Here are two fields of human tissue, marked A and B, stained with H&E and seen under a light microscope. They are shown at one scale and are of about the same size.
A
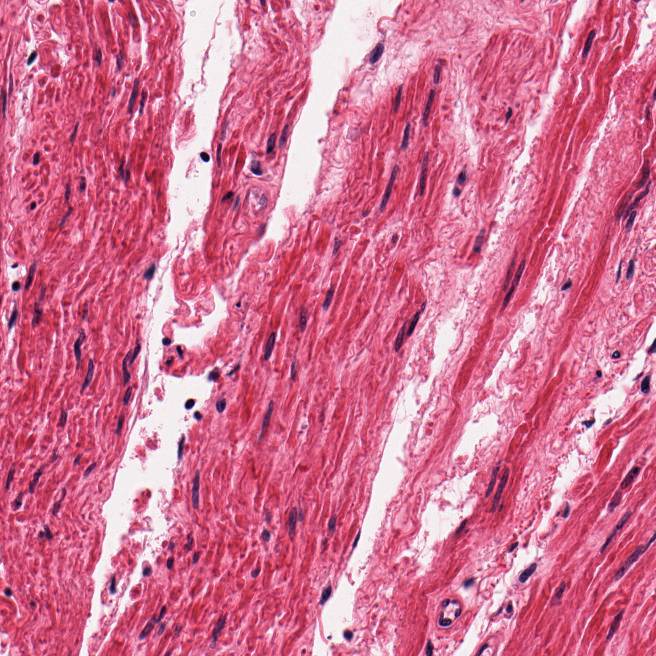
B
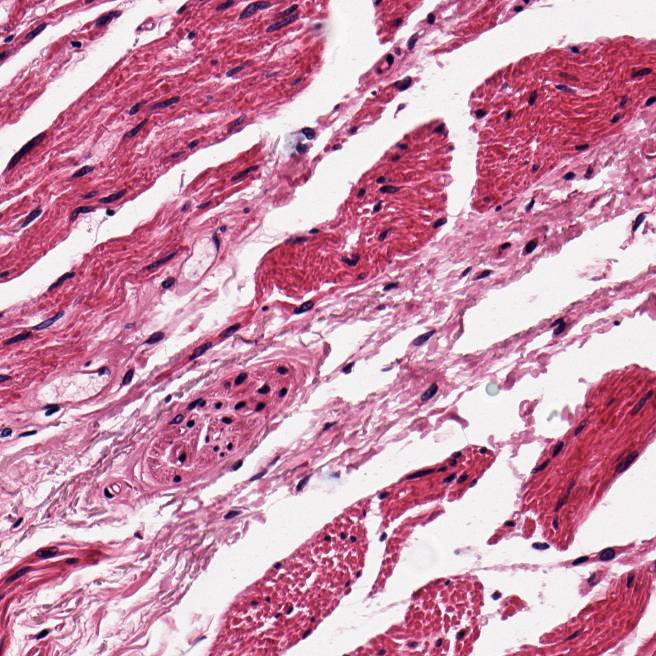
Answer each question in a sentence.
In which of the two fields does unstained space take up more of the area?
Field B has more white space.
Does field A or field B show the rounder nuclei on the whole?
Rounder nuclei lie in field B.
